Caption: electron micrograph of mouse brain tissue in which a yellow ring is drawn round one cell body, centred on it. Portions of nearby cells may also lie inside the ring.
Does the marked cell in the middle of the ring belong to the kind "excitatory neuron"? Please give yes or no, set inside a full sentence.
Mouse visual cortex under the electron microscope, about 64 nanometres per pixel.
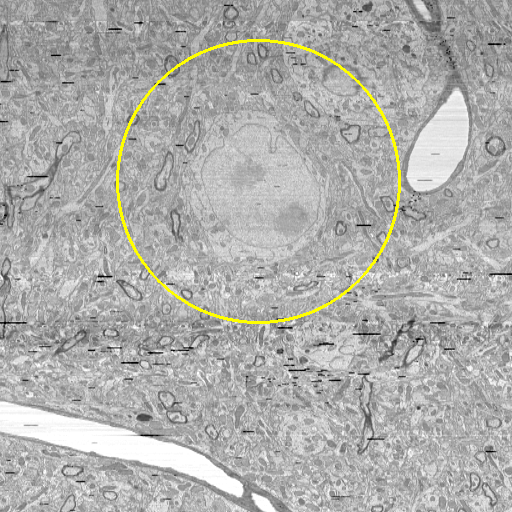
Yes, the marked cell that the ring is centred on in the picture is of that kind.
